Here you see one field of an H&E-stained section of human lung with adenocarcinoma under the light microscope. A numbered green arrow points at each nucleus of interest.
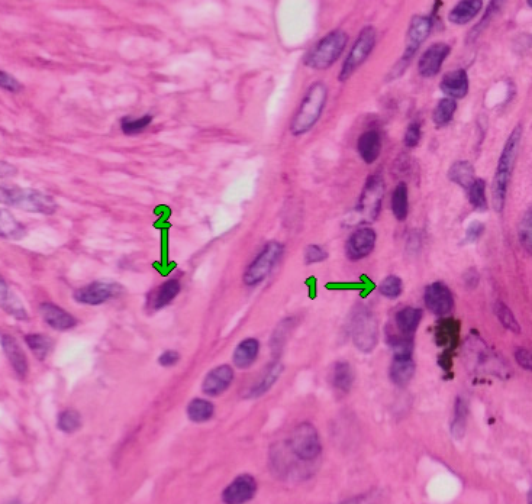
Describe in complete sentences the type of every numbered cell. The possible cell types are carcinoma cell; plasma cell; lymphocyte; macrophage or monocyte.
Cell 1 is a lymphocyte and cell 2 is a plasma cell.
